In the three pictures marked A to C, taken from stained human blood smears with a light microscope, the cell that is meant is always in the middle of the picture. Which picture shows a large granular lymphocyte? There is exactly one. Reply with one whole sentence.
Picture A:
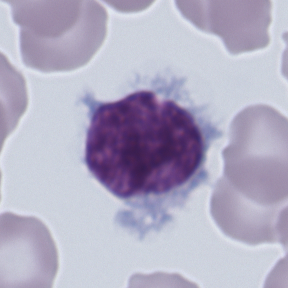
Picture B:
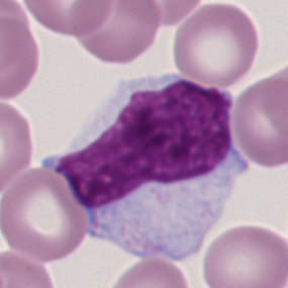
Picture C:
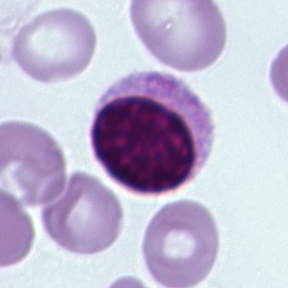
Picture C is the one that shows the large granular lymphocyte.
